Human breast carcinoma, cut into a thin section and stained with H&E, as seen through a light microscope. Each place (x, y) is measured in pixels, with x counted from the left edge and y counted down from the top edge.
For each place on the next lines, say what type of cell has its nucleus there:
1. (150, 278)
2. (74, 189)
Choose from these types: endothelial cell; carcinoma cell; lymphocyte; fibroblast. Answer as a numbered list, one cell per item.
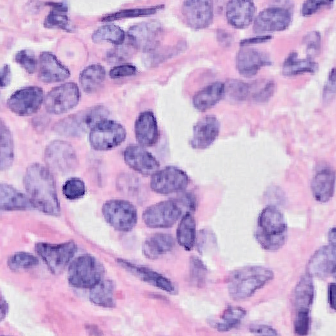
1. endothelial cell
2. lymphocyte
